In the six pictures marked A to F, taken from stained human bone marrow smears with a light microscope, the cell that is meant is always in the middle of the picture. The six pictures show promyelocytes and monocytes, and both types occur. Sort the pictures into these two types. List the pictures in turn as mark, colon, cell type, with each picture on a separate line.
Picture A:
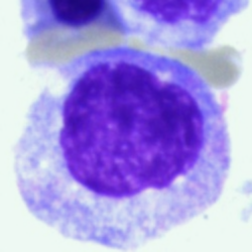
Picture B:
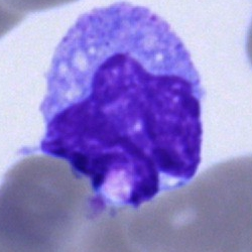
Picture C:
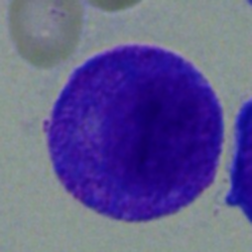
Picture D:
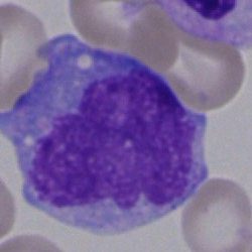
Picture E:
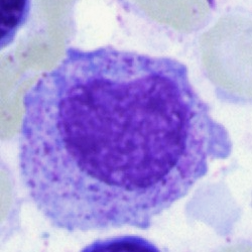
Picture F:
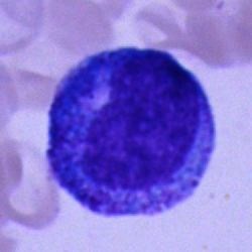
A: promyelocyte
B: monocyte
C: promyelocyte
D: monocyte
E: promyelocyte
F: promyelocyte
